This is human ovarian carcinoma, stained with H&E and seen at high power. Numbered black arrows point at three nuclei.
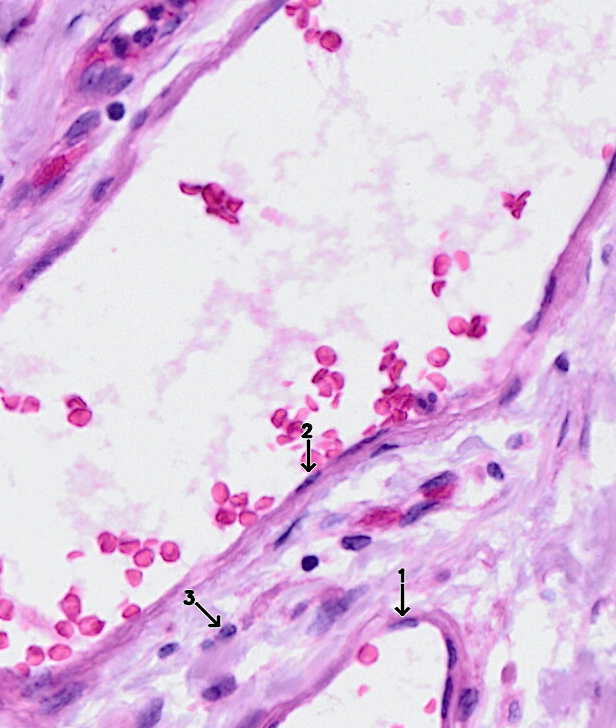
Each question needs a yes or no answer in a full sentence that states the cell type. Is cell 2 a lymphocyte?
No, not a lymphocyte: the cell with number 2 is an endothelial cell.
